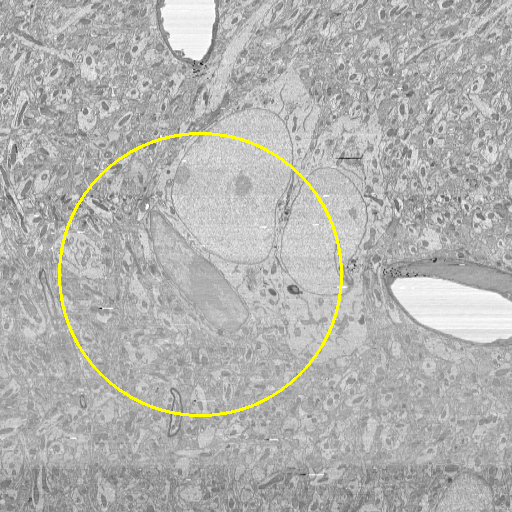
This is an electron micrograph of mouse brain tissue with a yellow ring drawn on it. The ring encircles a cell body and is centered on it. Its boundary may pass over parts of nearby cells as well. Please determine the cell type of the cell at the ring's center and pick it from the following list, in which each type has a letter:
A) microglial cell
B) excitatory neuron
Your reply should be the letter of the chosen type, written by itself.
A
